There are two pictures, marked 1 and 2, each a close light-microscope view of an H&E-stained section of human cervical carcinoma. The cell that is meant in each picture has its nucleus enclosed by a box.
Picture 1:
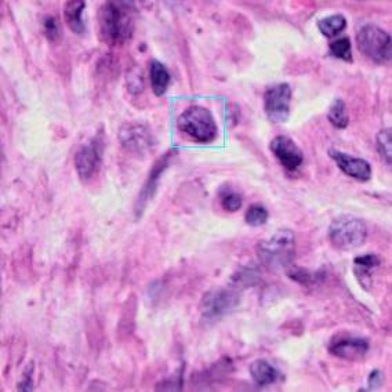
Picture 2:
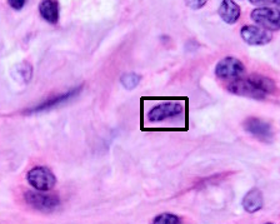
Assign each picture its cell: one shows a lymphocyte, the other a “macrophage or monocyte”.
1: macrophage or monocyte
2: lymphocyte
